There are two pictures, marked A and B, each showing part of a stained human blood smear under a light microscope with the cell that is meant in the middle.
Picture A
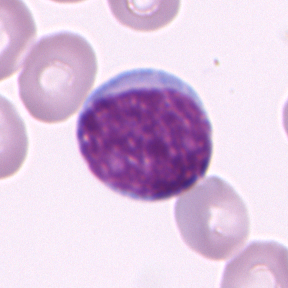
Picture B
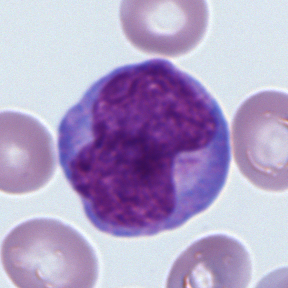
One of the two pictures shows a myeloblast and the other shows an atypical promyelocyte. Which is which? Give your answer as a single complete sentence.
Picture A shows a myeloblast and picture B shows an atypical promyelocyte.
